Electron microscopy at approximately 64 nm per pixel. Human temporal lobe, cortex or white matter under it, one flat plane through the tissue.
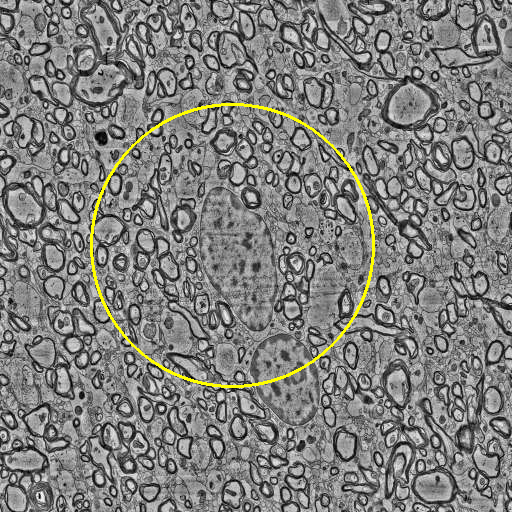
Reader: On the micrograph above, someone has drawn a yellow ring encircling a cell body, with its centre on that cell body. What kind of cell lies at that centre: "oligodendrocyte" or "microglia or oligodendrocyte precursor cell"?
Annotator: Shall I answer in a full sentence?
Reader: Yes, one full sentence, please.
Here a microglial cell or oligodendrocyte precursor cell sits at the centre of the yellow ring drawn on the micrograph.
